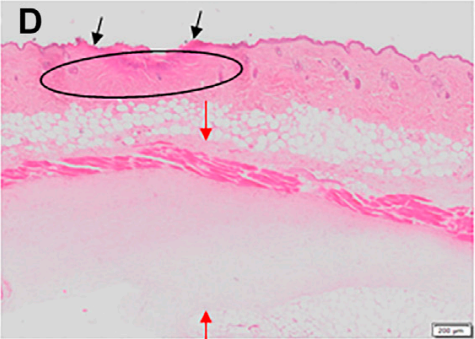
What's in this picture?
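This skin section shows a focal break in the surface layer with a small patch of granulation tissue in the upper dermis. Beside this patch the dermis keeps its ordinary pink texture with hair follicle profiles. A layer of pale fat cells and a pink muscle band follow beneath. Below the muscle the connective tissue is markedly widened and pale, almost without structure, indicating edematous loosening.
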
